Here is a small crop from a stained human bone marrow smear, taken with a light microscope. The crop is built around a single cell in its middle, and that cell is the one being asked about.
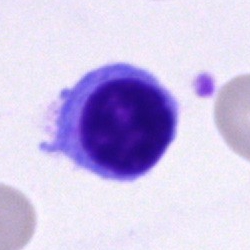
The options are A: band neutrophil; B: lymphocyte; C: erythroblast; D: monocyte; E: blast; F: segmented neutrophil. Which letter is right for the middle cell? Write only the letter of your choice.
B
